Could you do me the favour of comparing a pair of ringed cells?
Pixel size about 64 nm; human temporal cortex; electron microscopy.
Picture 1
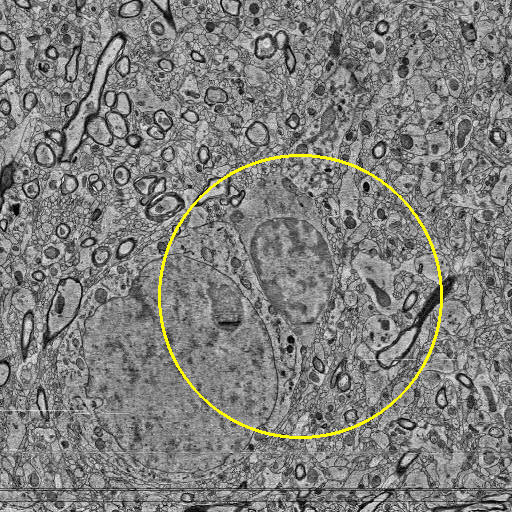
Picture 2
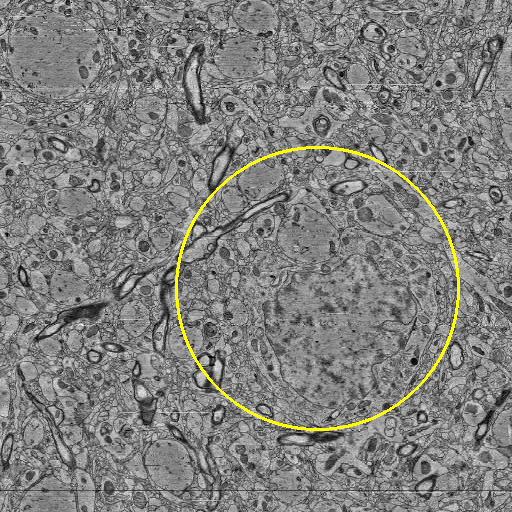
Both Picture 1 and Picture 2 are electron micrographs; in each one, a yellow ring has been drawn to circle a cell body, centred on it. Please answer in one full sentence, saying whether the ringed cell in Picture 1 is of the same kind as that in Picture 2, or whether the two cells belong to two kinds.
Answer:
The ringed cells in Picture 1 and Picture 2 belong to two kinds.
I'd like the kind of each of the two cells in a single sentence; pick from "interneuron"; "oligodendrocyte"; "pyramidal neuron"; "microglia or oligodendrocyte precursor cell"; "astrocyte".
The first ring marks an oligodendrocyte, and the second ring marks an interneuron.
